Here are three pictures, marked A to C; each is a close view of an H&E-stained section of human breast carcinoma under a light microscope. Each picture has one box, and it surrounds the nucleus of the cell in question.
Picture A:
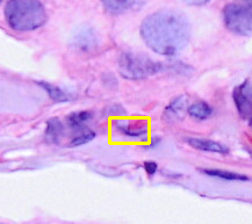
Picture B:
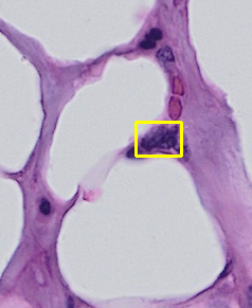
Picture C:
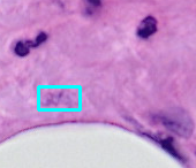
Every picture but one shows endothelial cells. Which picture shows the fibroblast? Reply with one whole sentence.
It is picture C that shows the fibroblast.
